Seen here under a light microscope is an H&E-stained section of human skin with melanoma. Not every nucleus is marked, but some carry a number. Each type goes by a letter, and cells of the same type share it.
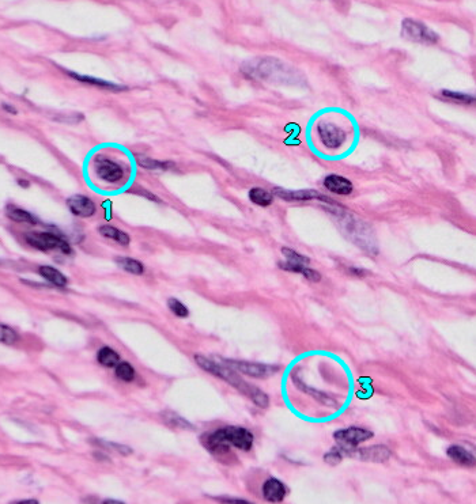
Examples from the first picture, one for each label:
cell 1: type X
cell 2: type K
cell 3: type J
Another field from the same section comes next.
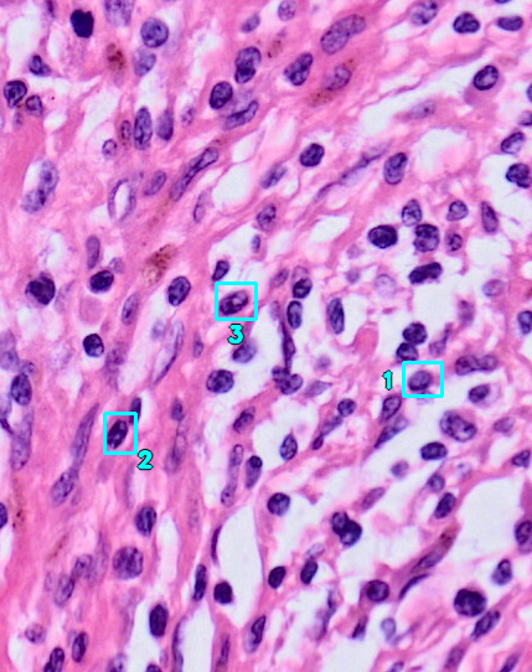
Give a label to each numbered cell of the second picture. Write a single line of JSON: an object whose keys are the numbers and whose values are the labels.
{"1": "type K", "2": "type X", "3": "type X"}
